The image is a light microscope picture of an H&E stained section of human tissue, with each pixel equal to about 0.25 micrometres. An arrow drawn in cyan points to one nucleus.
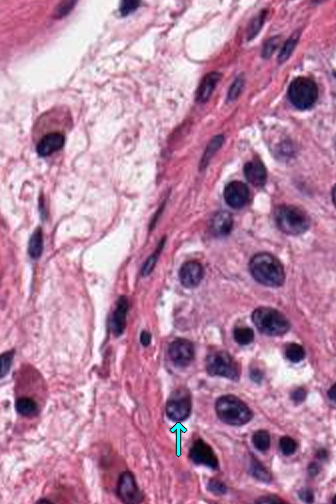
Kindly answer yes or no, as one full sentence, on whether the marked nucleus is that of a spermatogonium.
Yes, the nucleus shown with the mark belongs to a spermatogonium.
